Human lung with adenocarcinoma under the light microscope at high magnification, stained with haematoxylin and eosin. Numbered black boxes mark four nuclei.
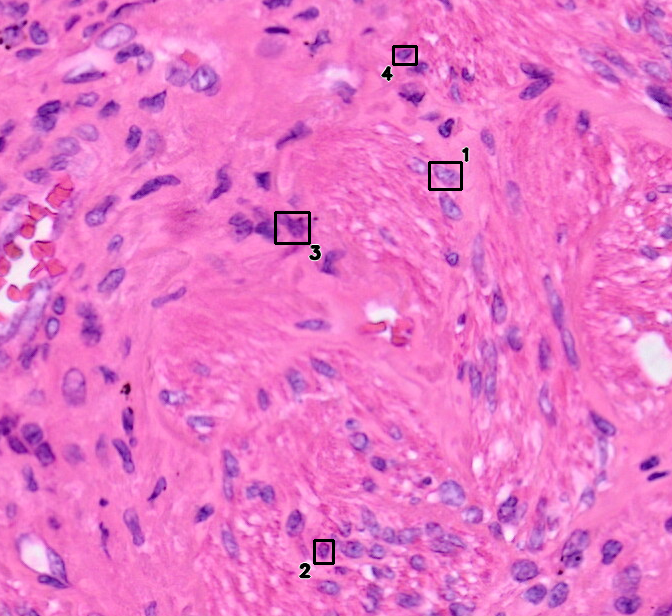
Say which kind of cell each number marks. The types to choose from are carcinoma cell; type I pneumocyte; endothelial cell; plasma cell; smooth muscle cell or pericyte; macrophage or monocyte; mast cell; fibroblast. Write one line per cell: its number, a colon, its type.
1: smooth muscle cell or pericyte
2: smooth muscle cell or pericyte
3: plasma cell
4: smooth muscle cell or pericyte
